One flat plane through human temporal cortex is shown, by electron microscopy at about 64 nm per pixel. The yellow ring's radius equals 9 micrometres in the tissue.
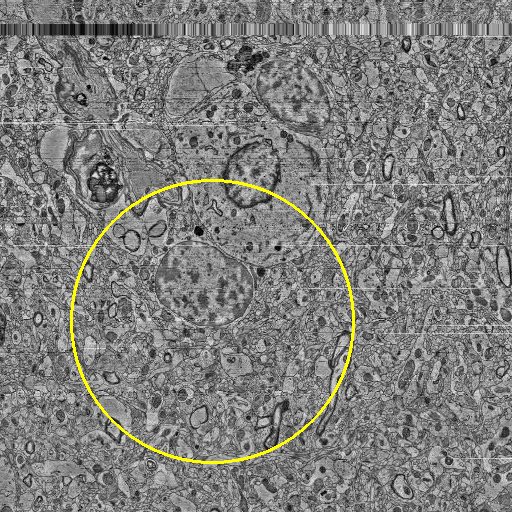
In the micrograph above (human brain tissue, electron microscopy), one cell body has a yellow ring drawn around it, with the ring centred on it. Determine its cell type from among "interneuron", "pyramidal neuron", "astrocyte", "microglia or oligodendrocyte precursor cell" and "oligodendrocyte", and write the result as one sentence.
The cell whose body is ringed is a microglial cell or oligodendrocyte precursor cell.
